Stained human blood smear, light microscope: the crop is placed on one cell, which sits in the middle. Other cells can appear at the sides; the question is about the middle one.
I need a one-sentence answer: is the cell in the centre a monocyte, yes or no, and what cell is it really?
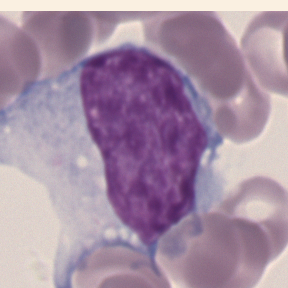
No, it is not a monocyte that lies in the middle but a myeloblast.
